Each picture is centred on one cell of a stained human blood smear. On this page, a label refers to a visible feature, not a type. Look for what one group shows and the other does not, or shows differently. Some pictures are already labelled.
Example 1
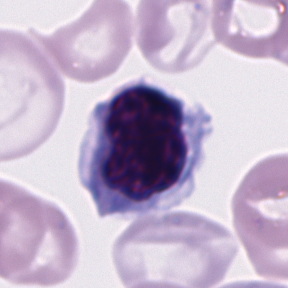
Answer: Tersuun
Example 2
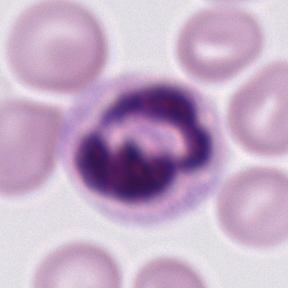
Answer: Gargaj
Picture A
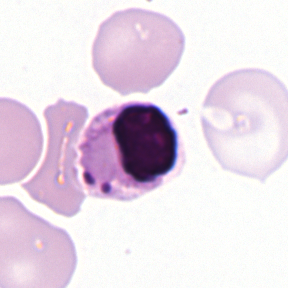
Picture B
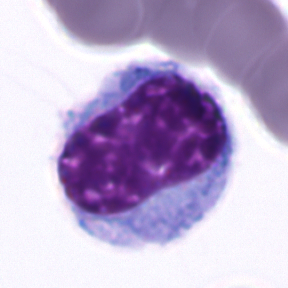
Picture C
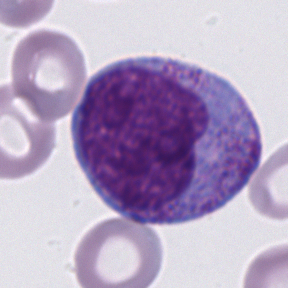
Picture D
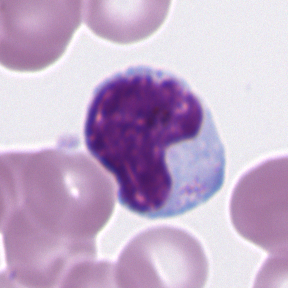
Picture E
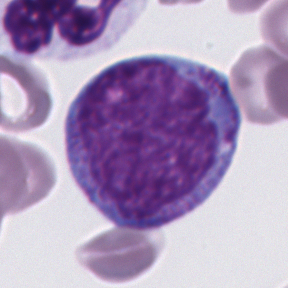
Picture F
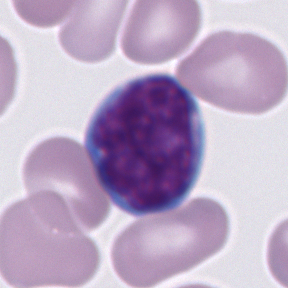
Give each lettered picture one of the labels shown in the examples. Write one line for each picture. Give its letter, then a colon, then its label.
A: Tersuun
B: Tersuun
C: Gargaj
D: Gargaj
E: Gargaj
F: Gargaj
